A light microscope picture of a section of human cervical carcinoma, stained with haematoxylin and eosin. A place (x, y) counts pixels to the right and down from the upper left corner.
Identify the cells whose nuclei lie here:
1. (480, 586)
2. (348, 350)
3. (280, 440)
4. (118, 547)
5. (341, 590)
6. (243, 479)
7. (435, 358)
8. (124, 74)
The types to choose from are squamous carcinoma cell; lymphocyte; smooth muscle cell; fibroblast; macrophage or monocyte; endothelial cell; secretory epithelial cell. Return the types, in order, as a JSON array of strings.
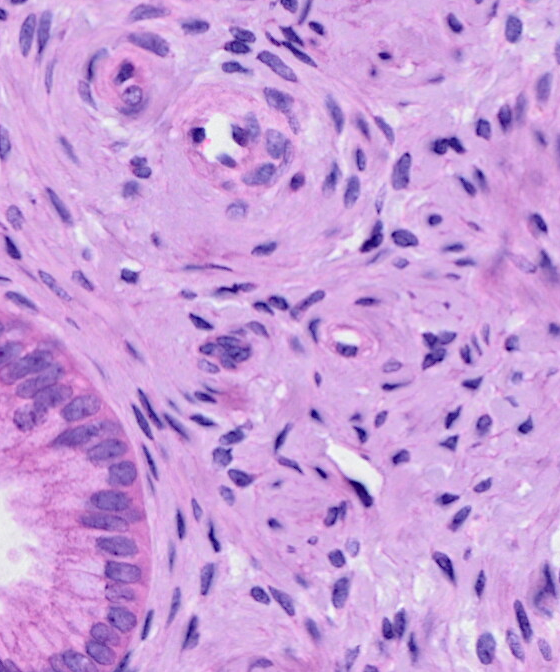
["fibroblast", "endothelial cell", "fibroblast", "secretory epithelial cell", "fibroblast", "fibroblast", "fibroblast", "endothelial cell"]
